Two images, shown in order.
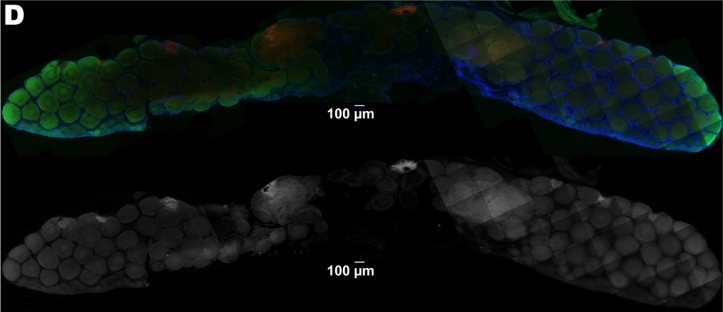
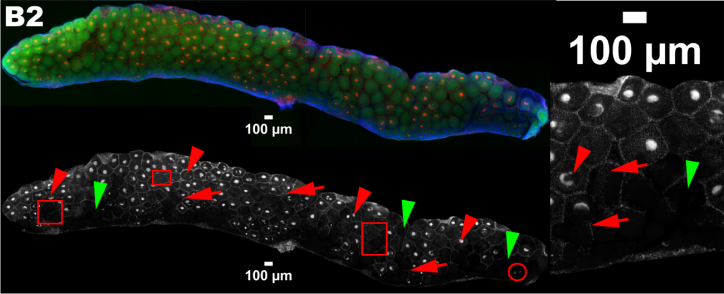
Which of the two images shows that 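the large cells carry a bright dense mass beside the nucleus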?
the second image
